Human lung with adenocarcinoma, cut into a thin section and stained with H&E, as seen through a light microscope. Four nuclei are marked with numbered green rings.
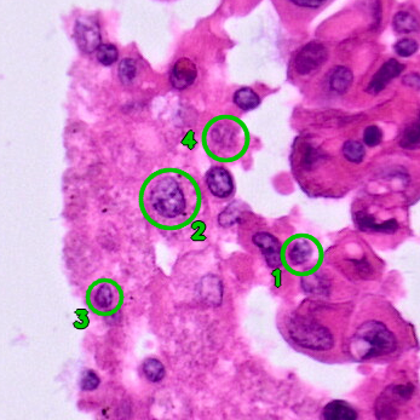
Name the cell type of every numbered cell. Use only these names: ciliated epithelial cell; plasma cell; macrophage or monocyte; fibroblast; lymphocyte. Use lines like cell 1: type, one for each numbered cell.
cell 1: lymphocyte
cell 2: macrophage or monocyte
cell 3: macrophage or monocyte
cell 4: macrophage or monocyte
